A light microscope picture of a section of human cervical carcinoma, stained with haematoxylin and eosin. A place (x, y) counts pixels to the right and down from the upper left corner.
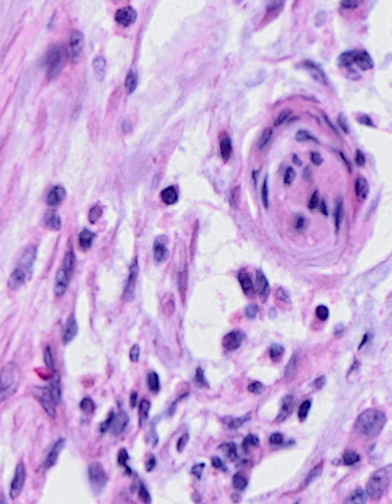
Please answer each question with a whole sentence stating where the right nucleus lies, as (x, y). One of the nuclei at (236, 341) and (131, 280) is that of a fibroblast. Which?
The nucleus found at (131, 280) belongs to a fibroblast.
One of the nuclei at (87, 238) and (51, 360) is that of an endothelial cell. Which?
Of the two nuclei, it is the one at (51, 360) that lies within an endothelial cell.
